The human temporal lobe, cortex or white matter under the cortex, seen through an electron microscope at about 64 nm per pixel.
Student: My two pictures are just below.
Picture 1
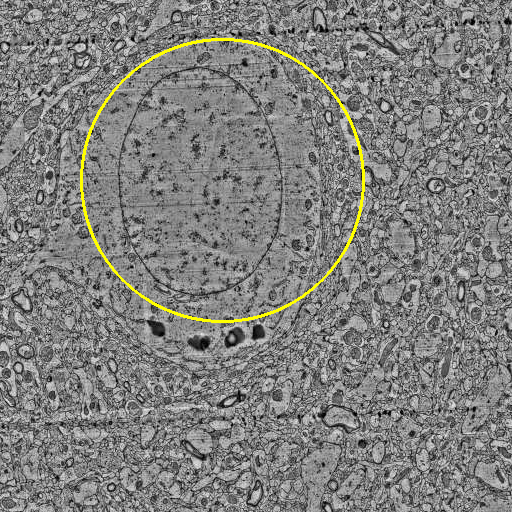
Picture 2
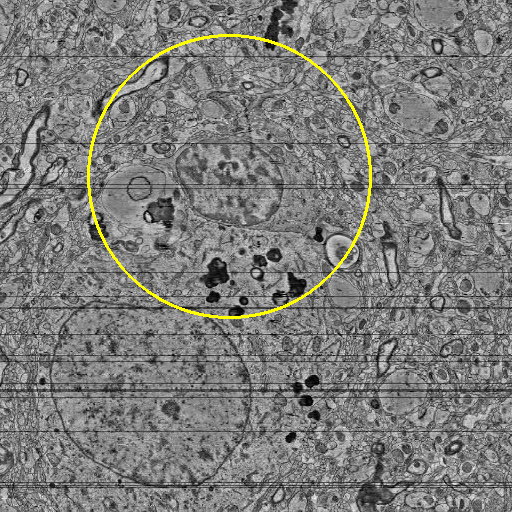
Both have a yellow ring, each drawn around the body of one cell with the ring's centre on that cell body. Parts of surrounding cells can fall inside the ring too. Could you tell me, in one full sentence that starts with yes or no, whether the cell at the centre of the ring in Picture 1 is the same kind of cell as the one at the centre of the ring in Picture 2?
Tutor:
No, the two cells are of two kinds.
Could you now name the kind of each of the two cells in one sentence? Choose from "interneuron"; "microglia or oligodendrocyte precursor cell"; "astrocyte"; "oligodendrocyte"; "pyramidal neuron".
The first ring encloses a pyramidal neuron; the second ring encloses an oligodendrocyte.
